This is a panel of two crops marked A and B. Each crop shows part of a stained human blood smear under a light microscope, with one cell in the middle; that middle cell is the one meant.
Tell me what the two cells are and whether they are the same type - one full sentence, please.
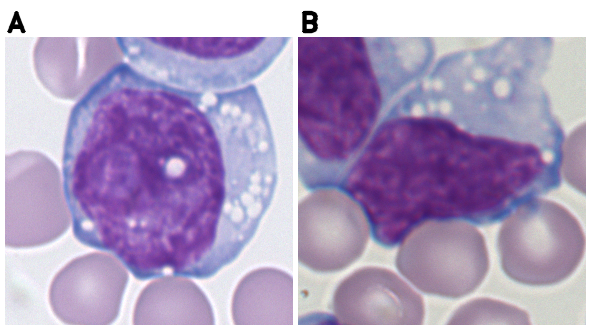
Yes, myeloblasts are centred in both crops.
